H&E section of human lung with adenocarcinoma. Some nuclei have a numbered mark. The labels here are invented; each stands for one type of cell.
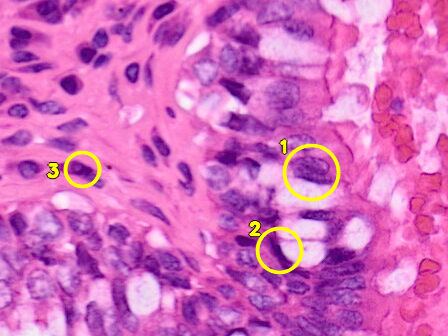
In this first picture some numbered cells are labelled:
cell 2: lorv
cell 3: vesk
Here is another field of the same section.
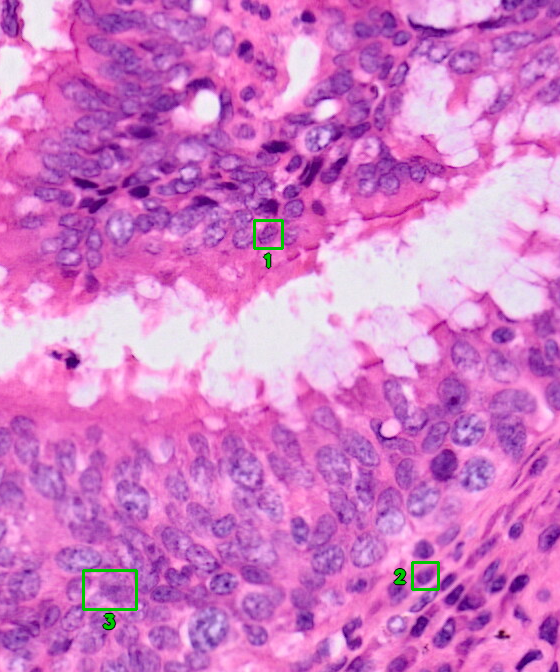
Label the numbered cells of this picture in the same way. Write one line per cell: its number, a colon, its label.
1: lorv
2: vesk
3: lorv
